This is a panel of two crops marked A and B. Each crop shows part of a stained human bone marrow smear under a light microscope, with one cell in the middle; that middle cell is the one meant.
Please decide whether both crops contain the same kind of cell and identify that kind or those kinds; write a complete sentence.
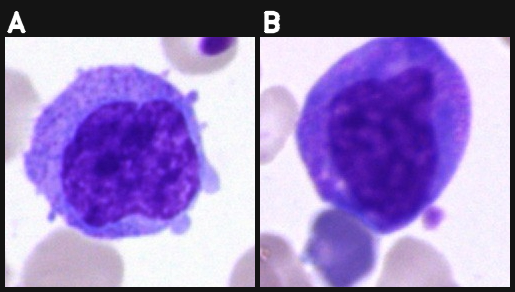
Yes, monocytes are the central cells in the two crops.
